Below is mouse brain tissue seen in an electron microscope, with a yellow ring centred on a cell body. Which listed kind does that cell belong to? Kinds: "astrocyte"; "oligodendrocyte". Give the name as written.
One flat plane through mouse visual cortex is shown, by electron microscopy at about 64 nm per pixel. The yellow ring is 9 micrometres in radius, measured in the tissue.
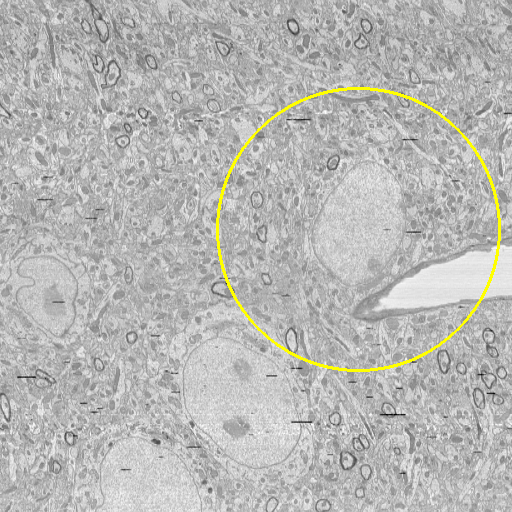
astrocyte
